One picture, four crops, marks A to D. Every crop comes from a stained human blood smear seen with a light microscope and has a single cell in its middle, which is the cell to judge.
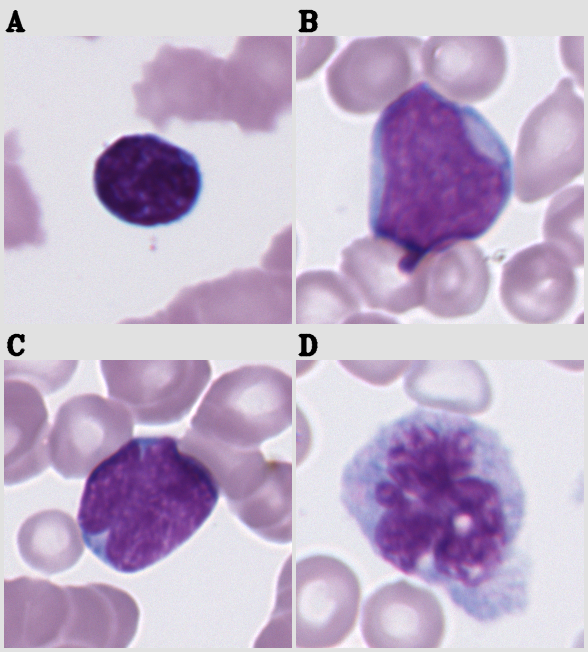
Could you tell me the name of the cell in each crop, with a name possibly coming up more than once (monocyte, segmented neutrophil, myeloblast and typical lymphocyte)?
A: typical lymphocyte
B: myeloblast
C: myeloblast
D: monocyte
